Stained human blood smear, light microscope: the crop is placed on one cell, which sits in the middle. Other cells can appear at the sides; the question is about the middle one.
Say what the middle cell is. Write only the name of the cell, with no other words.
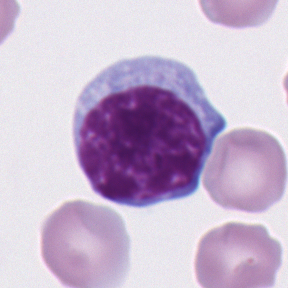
typical lymphocyte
